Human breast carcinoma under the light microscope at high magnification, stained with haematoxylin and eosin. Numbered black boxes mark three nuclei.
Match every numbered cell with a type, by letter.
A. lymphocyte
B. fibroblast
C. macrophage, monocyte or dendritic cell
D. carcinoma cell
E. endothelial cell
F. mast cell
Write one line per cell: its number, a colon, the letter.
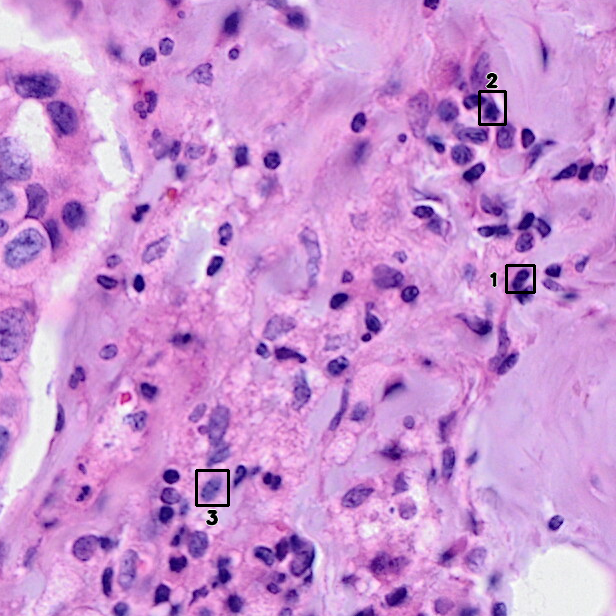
1: A
2: A
3: F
